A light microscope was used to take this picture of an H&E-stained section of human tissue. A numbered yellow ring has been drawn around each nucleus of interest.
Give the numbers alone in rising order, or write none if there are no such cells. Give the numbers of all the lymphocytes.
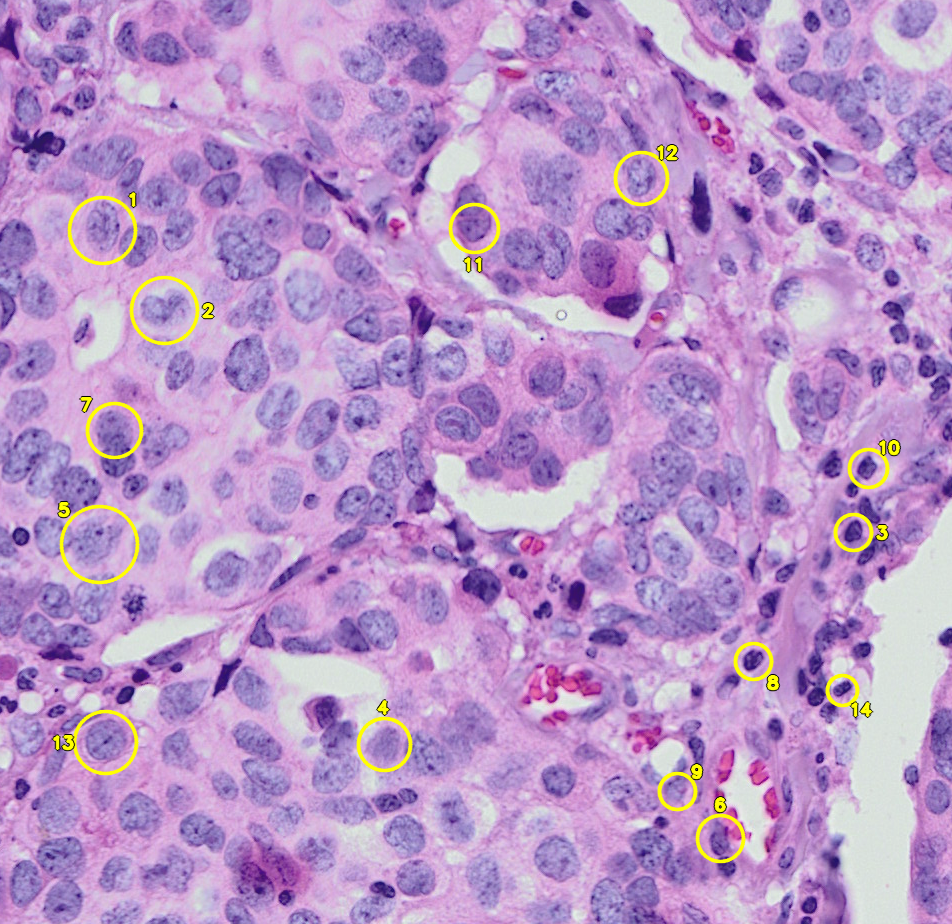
3, 8, 10, 14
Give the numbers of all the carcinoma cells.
1, 2, 4, 5, 7, 11, 12, 13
